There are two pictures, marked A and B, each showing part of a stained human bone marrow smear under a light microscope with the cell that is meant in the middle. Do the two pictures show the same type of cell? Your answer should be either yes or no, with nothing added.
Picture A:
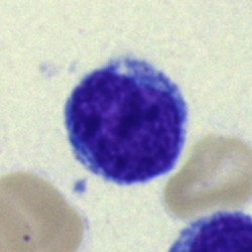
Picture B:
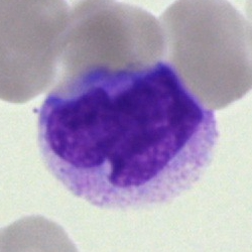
no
